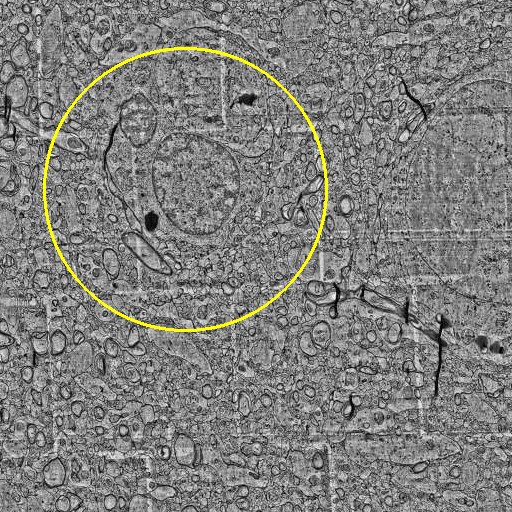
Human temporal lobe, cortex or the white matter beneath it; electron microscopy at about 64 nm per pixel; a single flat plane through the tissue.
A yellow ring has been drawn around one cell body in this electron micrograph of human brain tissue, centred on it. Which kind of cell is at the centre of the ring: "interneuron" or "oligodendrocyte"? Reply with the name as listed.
oligodendrocyte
